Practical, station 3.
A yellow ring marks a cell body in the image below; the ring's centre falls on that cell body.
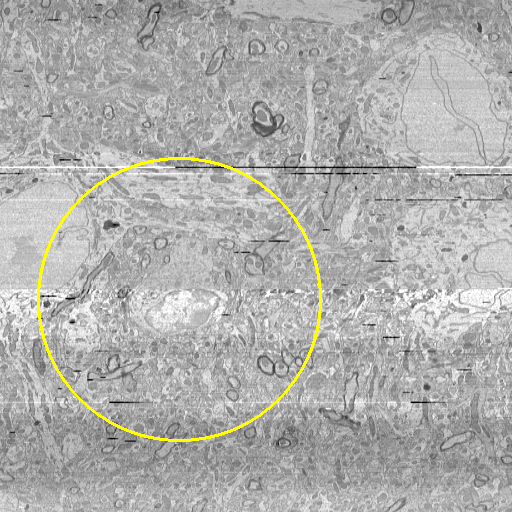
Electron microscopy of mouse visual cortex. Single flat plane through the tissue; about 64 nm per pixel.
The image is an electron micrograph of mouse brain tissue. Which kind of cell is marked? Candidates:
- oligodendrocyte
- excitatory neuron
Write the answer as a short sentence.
The marked cell body is that of an oligodendrocyte.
